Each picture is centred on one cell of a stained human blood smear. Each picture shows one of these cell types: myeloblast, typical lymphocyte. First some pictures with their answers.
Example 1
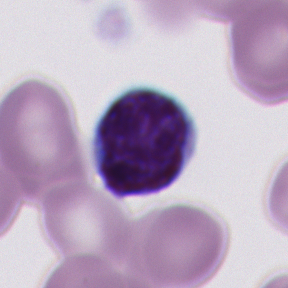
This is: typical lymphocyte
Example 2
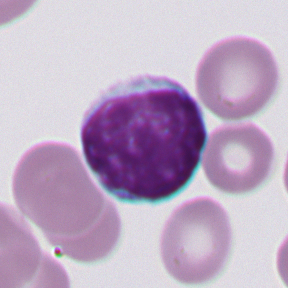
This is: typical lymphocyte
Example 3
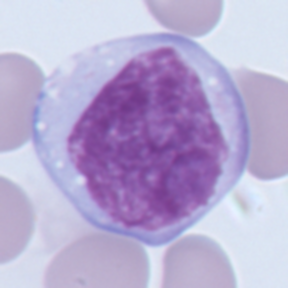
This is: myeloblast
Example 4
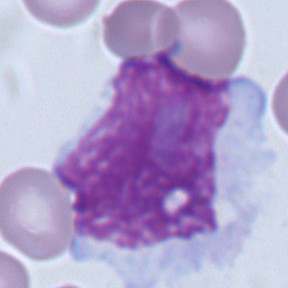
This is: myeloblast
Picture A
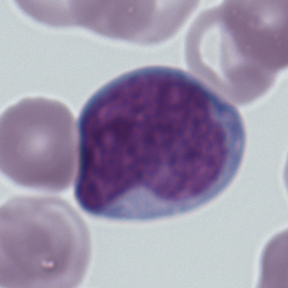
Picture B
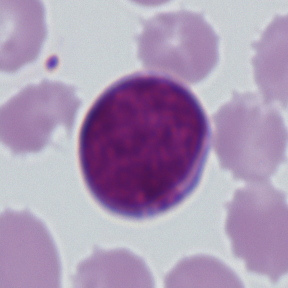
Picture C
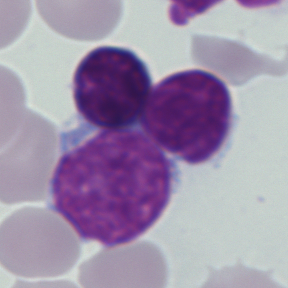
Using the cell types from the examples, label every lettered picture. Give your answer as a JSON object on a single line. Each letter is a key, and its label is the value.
{"A": "myeloblast", "B": "myeloblast", "C": "myeloblast"}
